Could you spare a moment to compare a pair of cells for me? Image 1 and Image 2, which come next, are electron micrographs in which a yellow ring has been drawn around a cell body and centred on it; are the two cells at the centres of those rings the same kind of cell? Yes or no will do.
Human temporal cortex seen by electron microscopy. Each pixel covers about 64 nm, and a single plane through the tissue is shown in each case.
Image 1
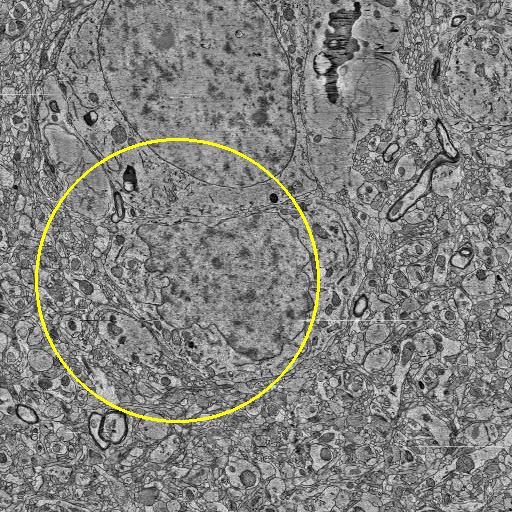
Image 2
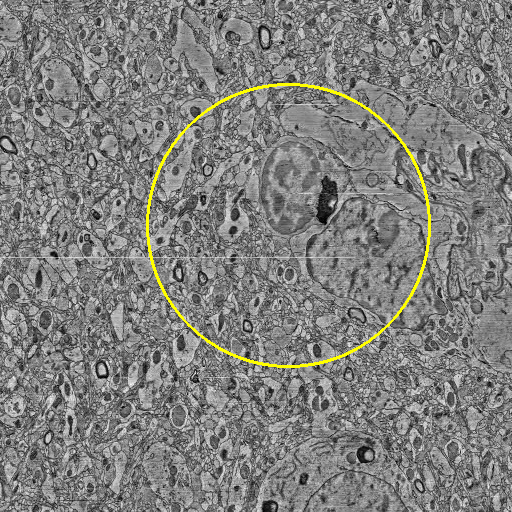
no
